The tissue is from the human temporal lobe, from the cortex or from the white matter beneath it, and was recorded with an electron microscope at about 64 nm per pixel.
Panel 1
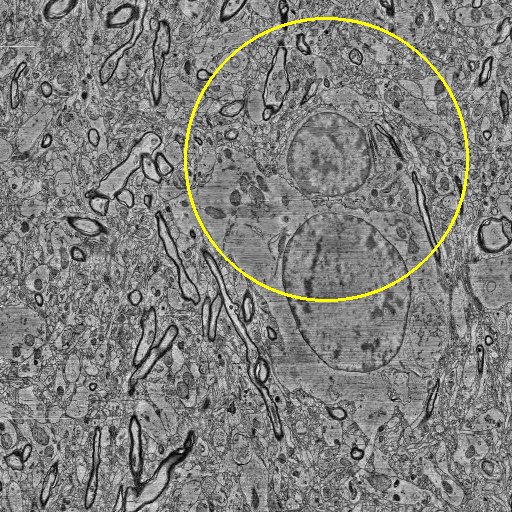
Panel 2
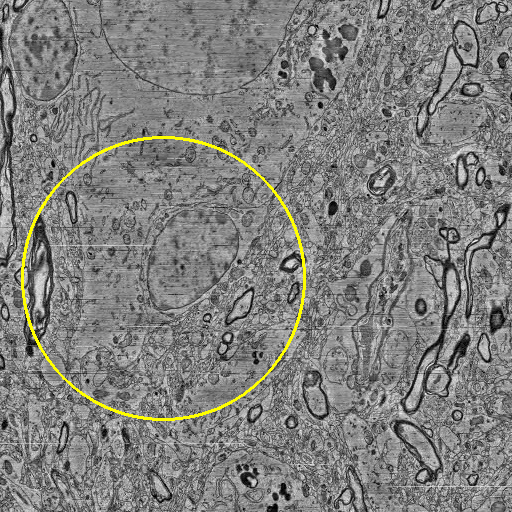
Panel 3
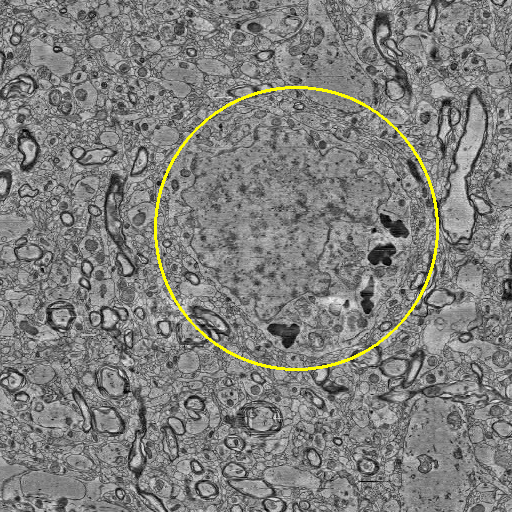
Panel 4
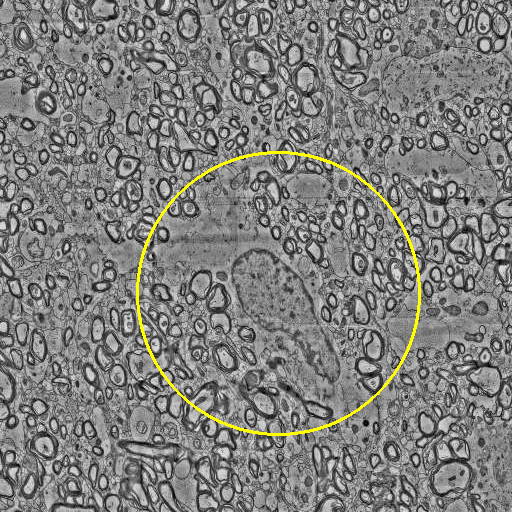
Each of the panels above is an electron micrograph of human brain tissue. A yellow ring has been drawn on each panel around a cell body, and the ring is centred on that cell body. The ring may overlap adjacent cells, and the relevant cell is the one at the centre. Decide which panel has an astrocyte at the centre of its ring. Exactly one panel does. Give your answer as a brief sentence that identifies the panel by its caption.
Panel 4 is the one with it at the centre of the ring.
